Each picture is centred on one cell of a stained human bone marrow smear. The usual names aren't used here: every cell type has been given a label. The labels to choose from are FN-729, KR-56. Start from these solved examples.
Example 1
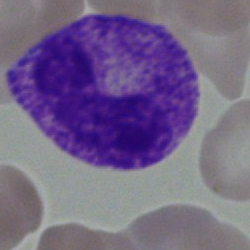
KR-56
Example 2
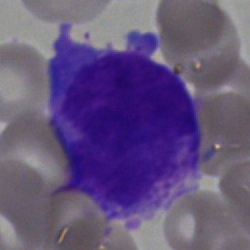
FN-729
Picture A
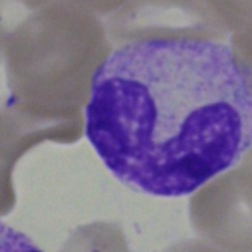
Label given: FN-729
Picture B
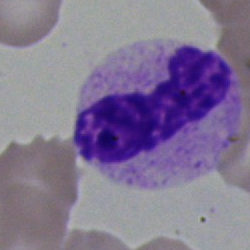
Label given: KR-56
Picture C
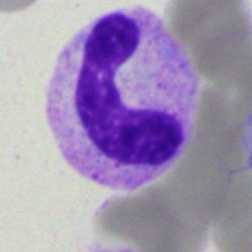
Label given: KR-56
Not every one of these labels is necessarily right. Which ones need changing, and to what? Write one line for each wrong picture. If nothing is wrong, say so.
A should be KR-56, not FN-729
